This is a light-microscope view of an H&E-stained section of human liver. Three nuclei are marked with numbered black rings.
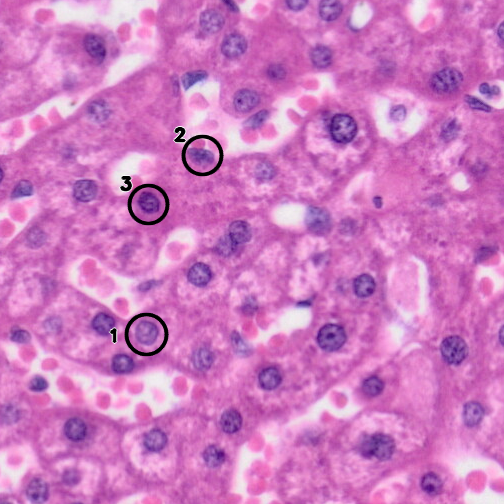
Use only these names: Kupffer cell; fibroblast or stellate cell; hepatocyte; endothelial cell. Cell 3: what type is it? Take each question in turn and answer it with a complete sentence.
The cell marked with the number 3 is a hepatocyte.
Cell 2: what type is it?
The cell tagged with 2 in this tissue section is an endothelial cell.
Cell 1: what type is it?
The numbered cell 1 in this field is a hepatocyte.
